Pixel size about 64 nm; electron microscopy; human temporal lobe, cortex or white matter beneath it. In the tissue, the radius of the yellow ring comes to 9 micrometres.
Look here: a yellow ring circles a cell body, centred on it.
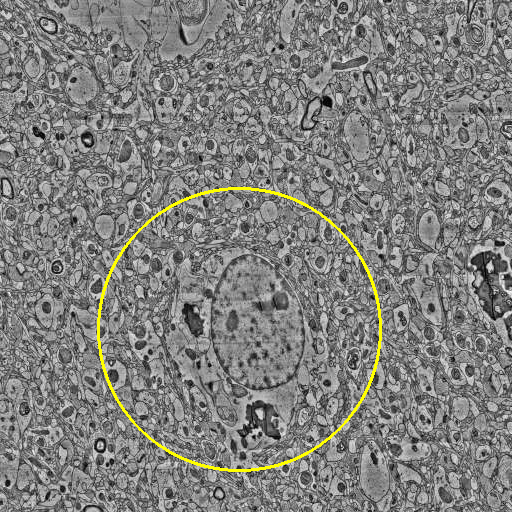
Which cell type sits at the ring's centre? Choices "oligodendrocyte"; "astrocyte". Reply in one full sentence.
The cell at the centre of the yellow ring in the picture is an astrocyte.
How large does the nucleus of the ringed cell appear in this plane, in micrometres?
In this plane the nucleus measures roughly 9 by 6 micrometres.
